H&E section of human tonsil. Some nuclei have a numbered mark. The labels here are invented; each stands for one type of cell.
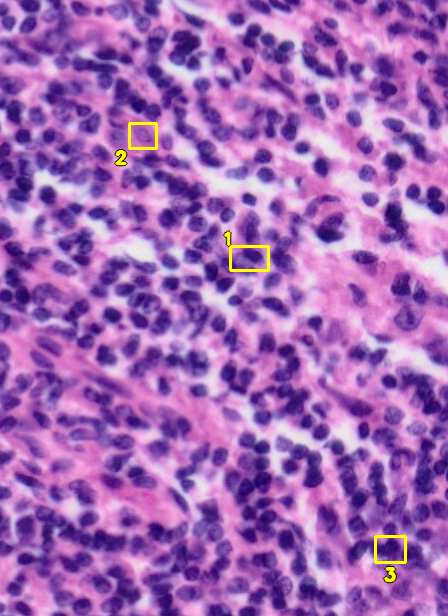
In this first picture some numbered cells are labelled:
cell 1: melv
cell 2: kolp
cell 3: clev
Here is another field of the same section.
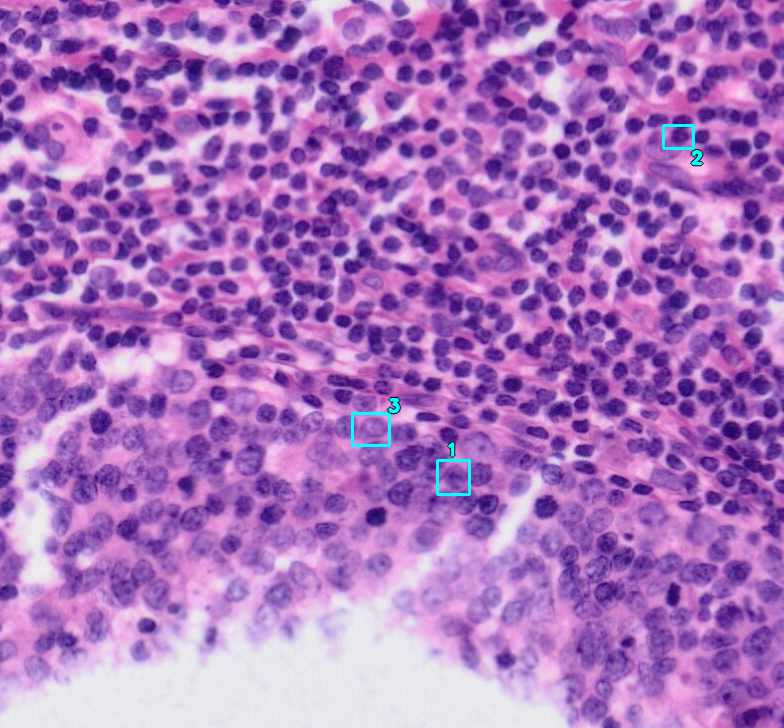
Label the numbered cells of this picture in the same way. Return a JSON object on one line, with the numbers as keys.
{"1": "melv", "2": "kolp", "3": "melv"}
